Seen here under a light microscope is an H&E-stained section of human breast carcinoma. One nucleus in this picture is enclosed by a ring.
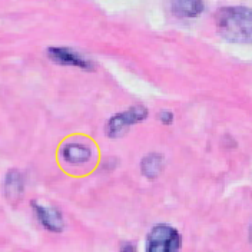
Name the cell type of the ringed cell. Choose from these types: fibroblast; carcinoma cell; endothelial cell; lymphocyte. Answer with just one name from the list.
endothelial cell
